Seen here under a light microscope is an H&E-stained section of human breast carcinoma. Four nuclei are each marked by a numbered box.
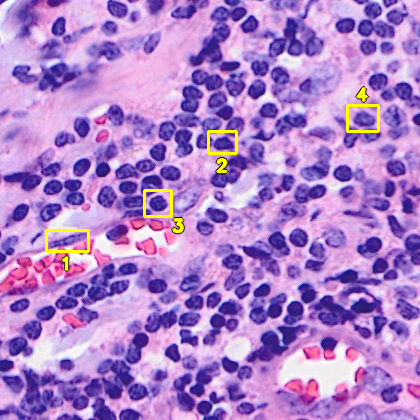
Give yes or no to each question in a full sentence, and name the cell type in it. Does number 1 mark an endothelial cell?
Yes, the cell that has number 1 is an endothelial cell.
